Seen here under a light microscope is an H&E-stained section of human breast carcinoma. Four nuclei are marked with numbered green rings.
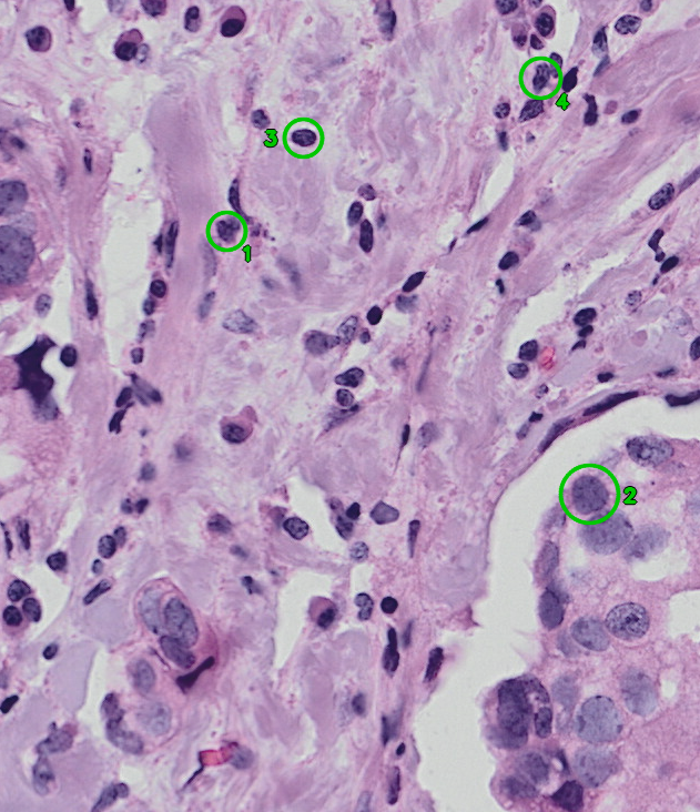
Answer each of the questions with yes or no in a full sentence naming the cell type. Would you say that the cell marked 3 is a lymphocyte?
Yes, the cell that number 3 points to is a lymphocyte.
